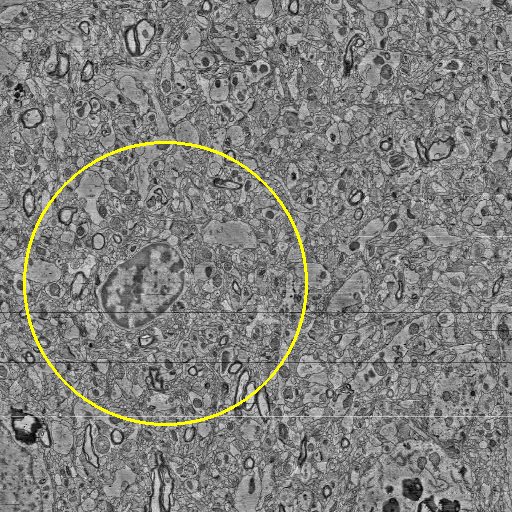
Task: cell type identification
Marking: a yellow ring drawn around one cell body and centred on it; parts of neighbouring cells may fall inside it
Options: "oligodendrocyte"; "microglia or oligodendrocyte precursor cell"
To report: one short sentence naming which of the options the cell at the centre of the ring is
The cell at the centre of the ring is a microglial cell or oligodendrocyte precursor cell.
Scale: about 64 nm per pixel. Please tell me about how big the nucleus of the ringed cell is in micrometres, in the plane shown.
Roughly 6 by 4 micrometres in this plane, for the nucleus of the ringed cell.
